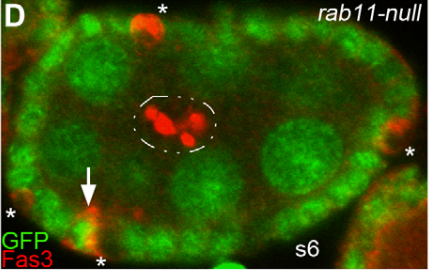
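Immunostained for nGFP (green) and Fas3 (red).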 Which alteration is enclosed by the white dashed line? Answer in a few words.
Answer: Delaminated from the epithelium and invaded the germline cyst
